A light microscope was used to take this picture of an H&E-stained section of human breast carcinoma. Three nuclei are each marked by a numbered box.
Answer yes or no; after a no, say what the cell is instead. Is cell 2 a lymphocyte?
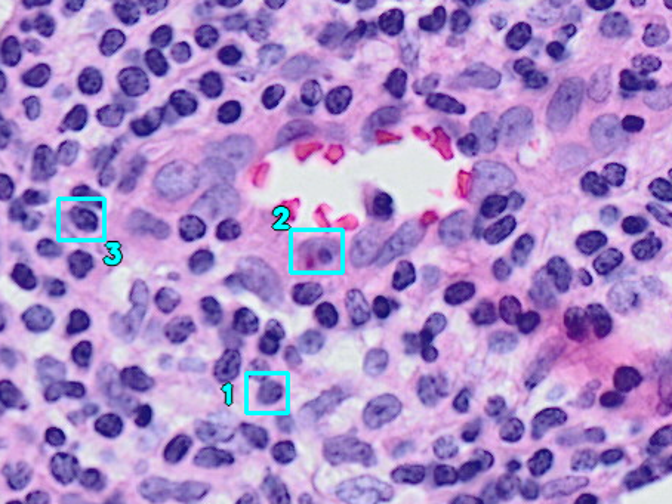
No, it is an endothelial cell.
